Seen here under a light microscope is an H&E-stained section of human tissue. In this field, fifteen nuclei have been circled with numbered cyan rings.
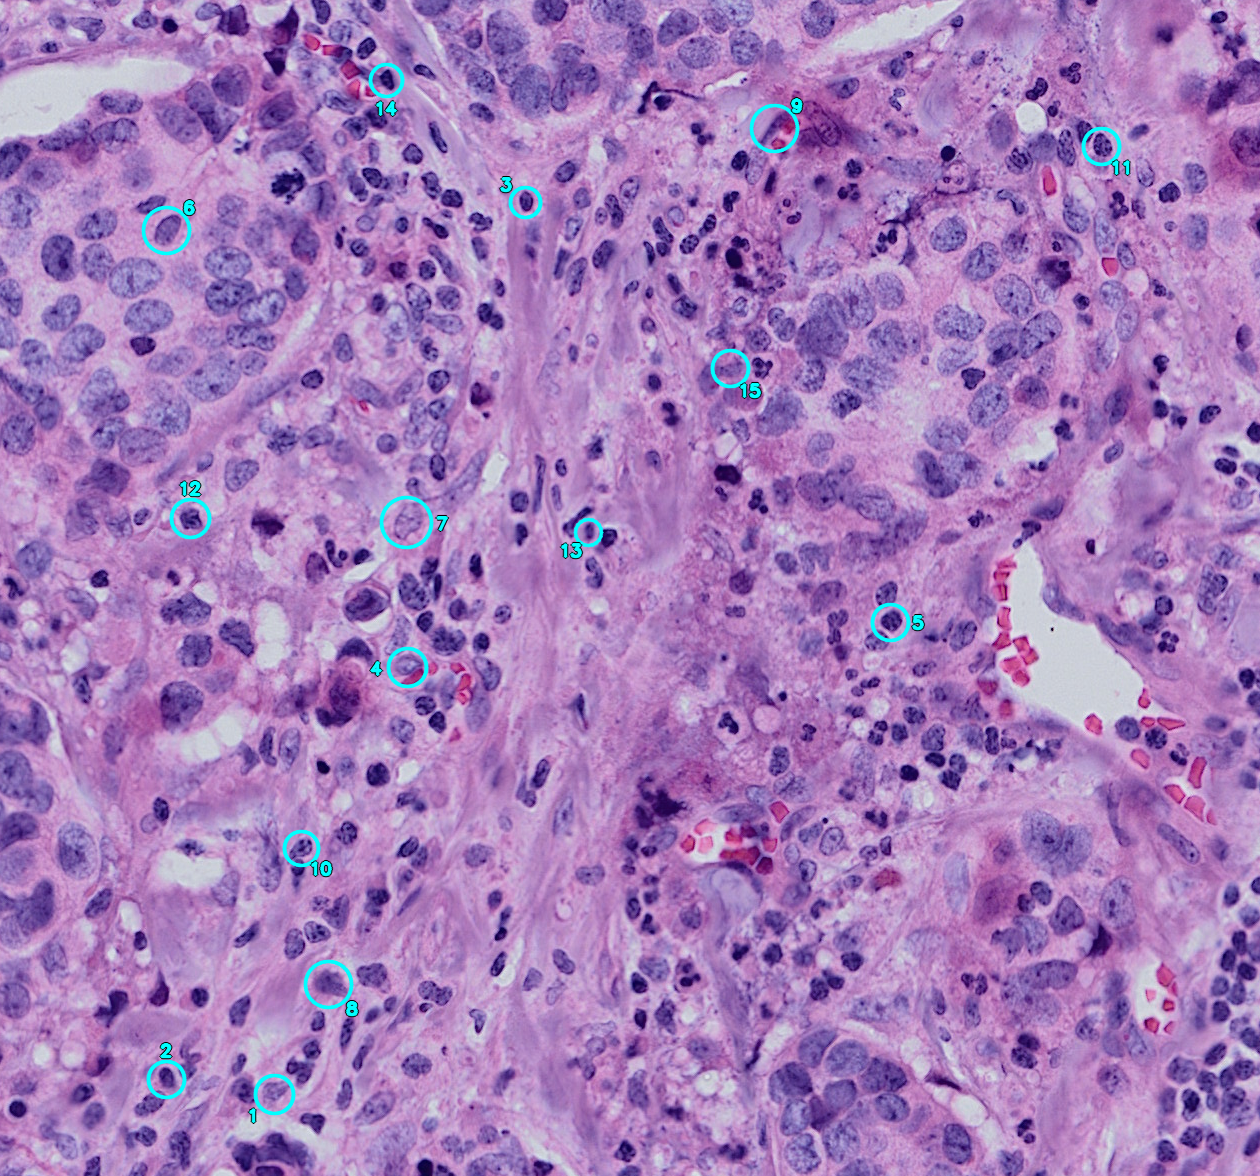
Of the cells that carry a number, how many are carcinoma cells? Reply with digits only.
1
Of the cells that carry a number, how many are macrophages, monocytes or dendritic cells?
3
